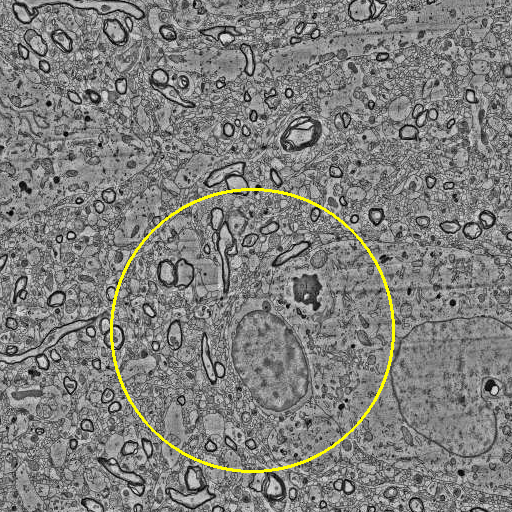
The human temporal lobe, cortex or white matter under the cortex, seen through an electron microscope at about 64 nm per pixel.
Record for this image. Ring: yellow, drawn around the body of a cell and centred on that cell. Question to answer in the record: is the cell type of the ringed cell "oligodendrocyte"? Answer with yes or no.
yes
